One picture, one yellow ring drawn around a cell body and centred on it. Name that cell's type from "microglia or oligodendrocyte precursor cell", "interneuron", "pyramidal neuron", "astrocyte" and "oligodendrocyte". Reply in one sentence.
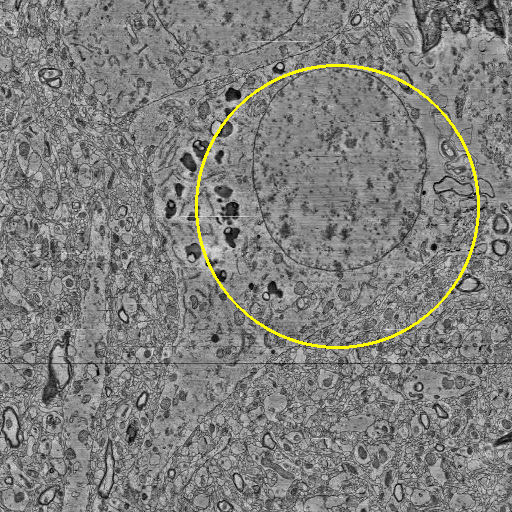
Centred in the ring is a pyramidal neuron.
